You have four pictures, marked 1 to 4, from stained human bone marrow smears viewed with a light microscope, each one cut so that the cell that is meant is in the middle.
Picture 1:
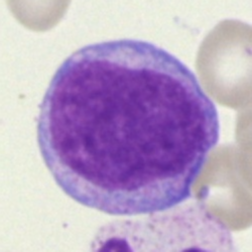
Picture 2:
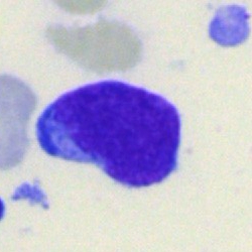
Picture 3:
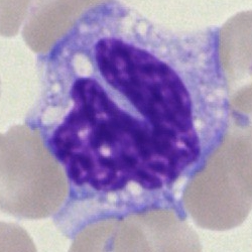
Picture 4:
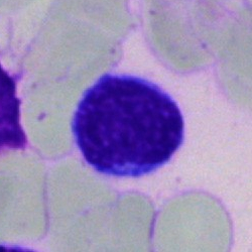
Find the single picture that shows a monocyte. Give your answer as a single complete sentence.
The picture with the monocyte is 3.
